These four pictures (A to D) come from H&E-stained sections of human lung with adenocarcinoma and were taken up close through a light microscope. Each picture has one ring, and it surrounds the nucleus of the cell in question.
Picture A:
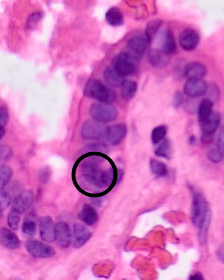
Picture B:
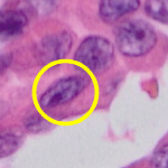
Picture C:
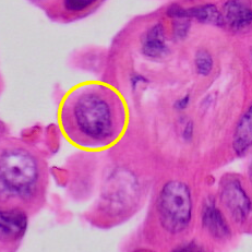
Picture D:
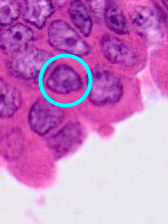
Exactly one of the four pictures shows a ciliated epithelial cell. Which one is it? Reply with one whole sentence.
The picture with the ciliated epithelial cell is A.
